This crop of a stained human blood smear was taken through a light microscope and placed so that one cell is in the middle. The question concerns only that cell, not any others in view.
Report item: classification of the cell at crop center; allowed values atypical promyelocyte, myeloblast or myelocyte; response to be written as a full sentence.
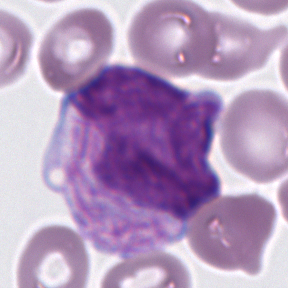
Centred in the crop is an atypical promyelocyte.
